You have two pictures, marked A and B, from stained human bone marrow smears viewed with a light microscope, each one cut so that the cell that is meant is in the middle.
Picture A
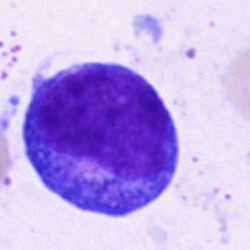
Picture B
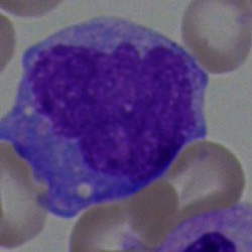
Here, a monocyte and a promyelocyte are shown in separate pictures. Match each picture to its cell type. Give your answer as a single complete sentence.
Picture B shows a monocyte, while picture A shows a promyelocyte.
